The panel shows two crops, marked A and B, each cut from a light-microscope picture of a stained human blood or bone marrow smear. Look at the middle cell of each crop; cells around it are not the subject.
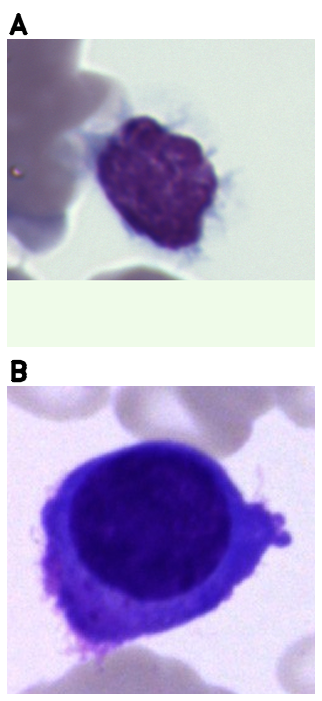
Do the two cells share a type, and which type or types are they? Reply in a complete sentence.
No, in crop B the central cell is a plasma cell, and in crop A it is a hairy cell.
